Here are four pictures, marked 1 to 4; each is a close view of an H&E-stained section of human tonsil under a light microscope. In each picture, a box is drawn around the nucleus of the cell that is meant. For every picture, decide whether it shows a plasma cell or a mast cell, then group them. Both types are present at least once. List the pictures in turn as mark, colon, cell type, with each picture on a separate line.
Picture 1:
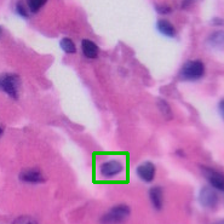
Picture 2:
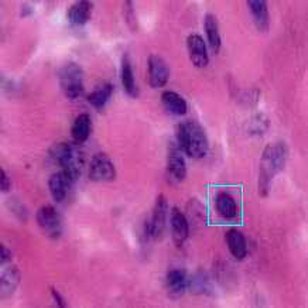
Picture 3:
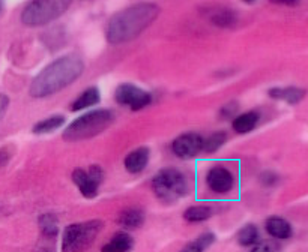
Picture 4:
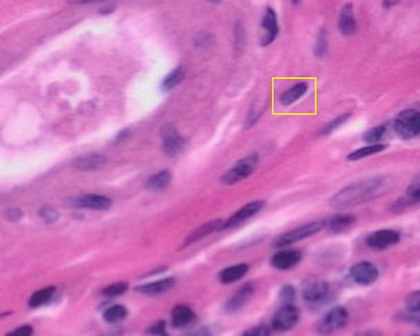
1: mast cell
2: mast cell
3: plasma cell
4: mast cell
